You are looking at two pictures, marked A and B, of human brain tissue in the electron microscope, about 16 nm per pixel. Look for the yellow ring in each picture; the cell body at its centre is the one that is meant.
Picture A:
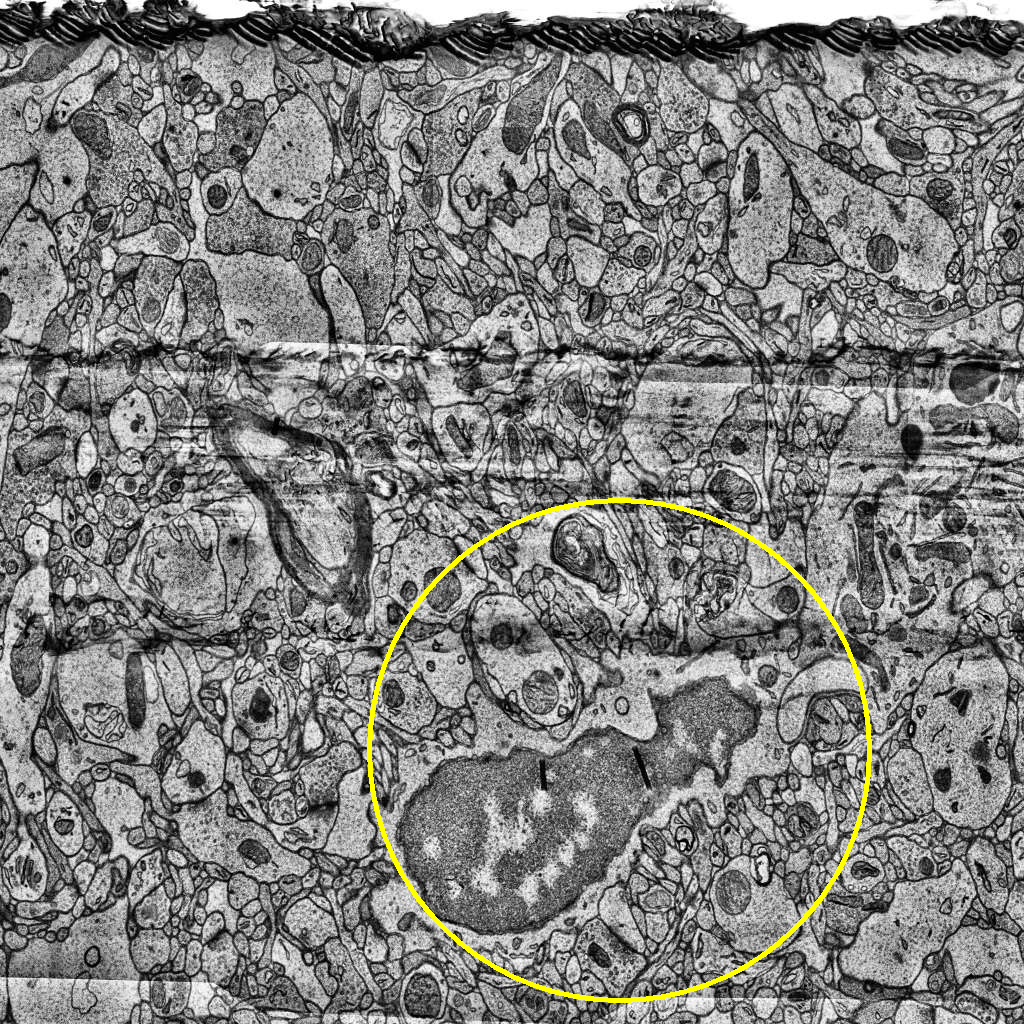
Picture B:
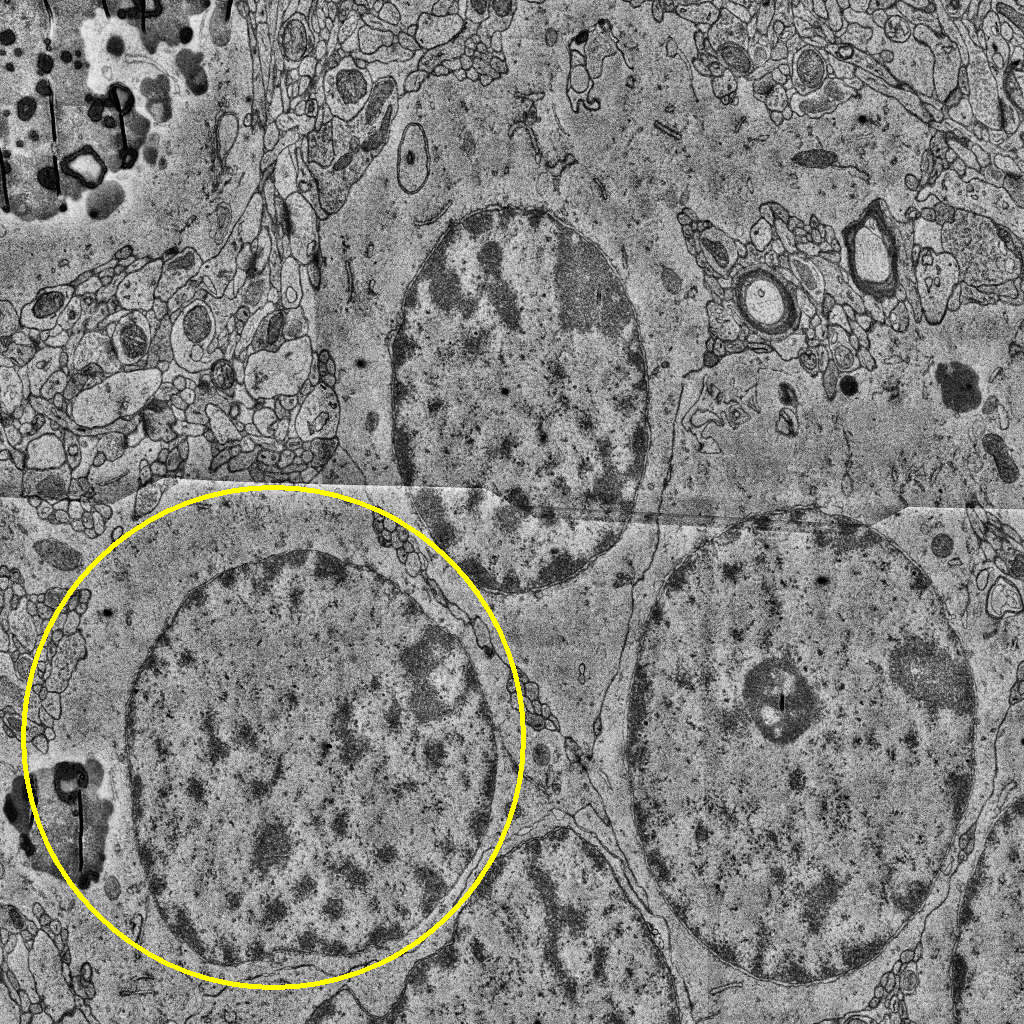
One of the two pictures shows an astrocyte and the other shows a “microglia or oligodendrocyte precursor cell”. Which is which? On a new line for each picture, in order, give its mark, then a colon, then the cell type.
A: microglia or oligodendrocyte precursor cell
B: astrocyte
